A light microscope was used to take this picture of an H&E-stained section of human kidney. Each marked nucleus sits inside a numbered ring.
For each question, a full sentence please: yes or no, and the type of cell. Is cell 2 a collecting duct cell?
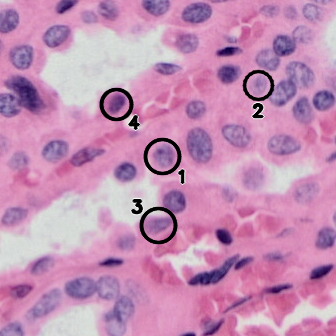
Yes, for number 2, the cell is a collecting duct cell.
